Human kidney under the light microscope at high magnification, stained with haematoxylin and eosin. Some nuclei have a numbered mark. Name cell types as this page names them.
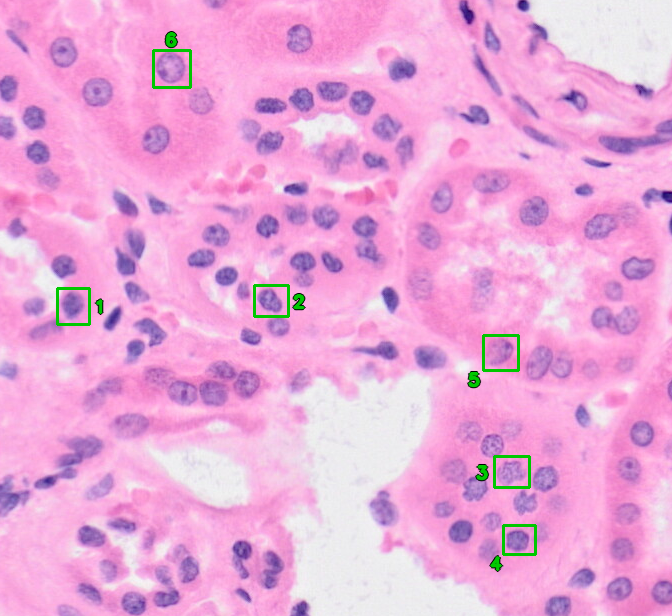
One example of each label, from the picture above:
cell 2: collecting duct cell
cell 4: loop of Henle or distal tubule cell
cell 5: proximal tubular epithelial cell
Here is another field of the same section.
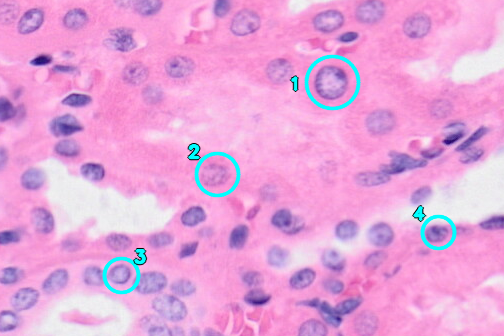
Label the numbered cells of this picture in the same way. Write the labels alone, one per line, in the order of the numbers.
proximal tubular epithelial cell
proximal tubular epithelial cell
collecting duct cell
loop of Henle or distal tubule cell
